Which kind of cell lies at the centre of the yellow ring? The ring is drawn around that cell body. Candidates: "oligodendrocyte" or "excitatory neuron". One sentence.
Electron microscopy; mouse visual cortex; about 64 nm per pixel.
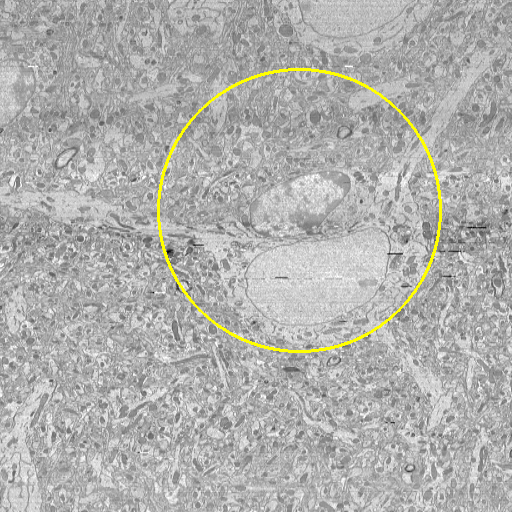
Lying at the centre of the ring is an oligodendrocyte.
